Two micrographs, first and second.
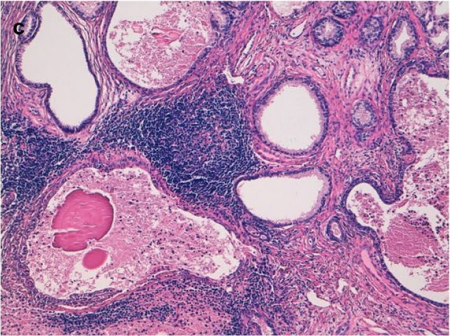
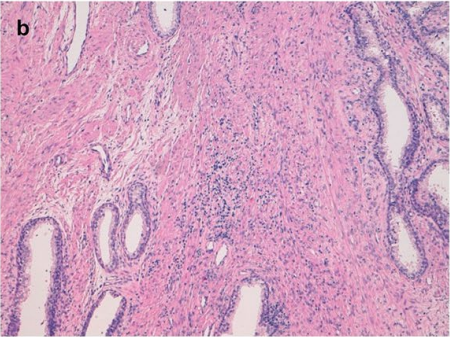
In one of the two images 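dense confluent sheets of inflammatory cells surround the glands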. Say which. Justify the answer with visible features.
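Second image: the stroma is mostly pink with only sparse scattered small nuclei. First image: a large compact dark-blue mass of small round cells lies between and against glands.
Hence: the first image.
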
